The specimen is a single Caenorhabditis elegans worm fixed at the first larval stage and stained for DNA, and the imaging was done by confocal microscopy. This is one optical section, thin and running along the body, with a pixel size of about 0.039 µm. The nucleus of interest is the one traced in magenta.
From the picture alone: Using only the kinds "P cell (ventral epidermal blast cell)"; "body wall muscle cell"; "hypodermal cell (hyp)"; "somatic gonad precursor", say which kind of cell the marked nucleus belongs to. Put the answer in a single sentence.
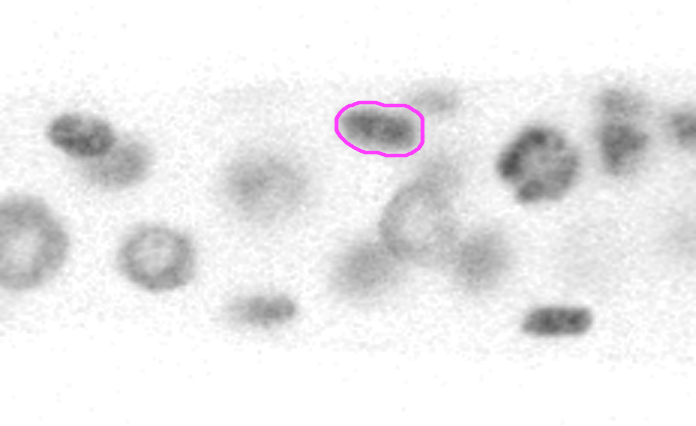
The marked nucleus is that of a body wall muscle cell.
